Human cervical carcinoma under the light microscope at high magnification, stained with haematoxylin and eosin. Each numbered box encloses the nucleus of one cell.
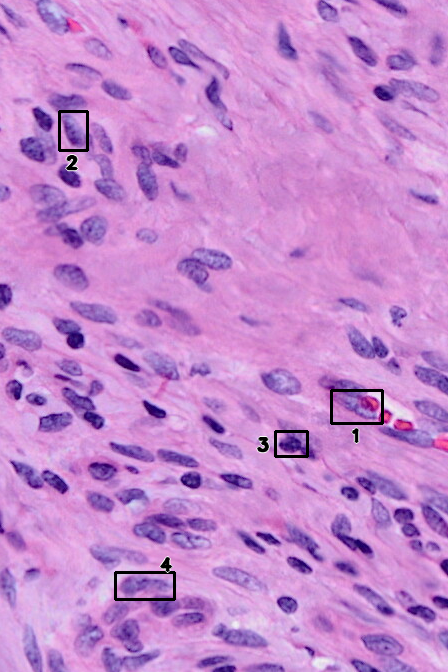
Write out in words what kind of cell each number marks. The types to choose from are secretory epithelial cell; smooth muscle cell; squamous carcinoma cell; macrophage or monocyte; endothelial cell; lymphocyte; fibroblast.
Cell 1 is an endothelial cell, cell 2 is a fibroblast, cell 3 is a lymphocyte and cell 4 is a smooth muscle cell.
